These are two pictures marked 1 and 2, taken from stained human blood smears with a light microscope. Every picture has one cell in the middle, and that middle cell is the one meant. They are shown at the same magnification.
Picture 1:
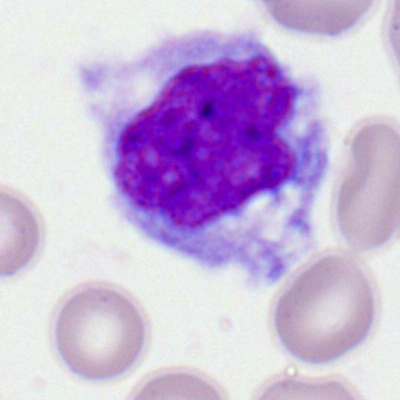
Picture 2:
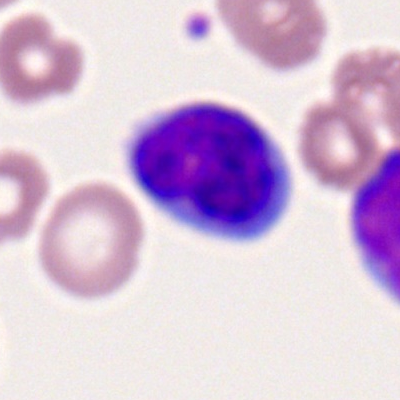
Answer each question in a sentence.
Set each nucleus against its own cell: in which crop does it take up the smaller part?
It is the cell in picture 1 that is filled less by its nucleus.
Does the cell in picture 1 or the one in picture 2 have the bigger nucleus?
The nucleus in picture 1 is larger, with about 2 times the area of the one in picture 2.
